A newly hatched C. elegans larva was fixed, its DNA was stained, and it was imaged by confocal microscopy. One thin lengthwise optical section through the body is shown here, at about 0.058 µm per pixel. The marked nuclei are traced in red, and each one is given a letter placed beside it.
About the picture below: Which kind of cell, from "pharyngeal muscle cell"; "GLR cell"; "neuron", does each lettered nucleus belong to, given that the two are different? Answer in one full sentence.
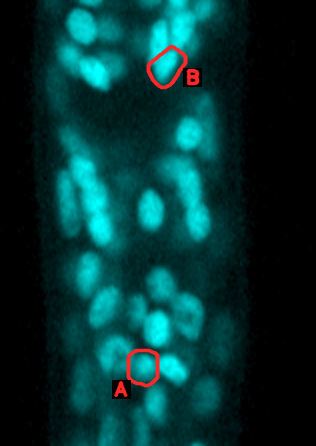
A belongs to a pharyngeal muscle cell and B to a GLR cell.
